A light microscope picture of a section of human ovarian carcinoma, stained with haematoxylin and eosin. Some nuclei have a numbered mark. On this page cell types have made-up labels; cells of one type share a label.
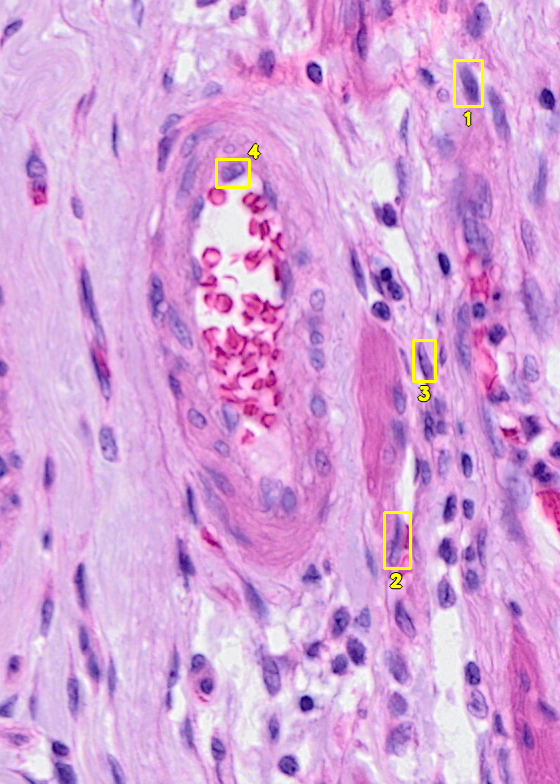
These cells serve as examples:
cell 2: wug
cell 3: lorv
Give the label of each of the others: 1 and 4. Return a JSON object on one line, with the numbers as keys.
{"1": "lorv", "4": "wug"}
